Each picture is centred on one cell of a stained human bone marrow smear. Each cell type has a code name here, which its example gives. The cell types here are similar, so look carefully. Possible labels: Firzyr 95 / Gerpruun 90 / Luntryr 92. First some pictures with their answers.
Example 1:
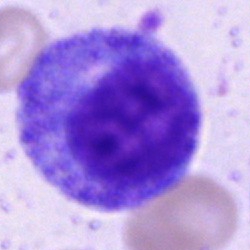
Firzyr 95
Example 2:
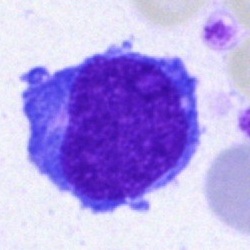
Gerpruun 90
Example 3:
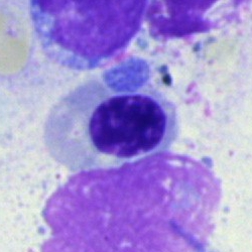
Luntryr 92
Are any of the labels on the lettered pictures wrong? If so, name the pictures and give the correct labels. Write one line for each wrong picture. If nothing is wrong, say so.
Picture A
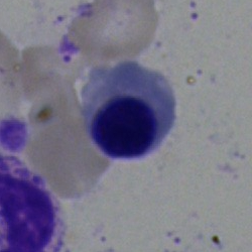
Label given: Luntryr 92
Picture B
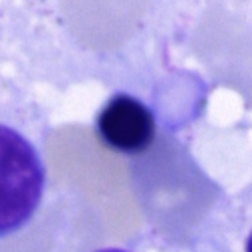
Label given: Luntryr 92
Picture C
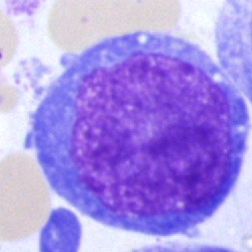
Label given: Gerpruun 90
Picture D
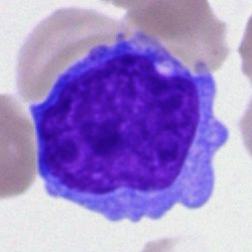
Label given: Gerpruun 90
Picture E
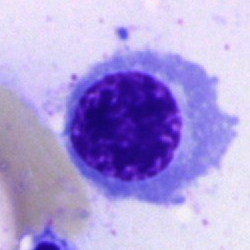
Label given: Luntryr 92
Nothing to fix; every label fits.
